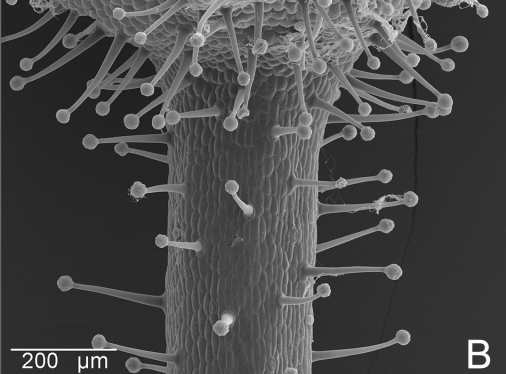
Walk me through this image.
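The stalk is covered by an epidermis of elongated, tightly fitting cells arranged in longitudinal rows. Glandular capitate hairs stand out from it, each a thin stalk ending in a small spherical head, becoming denser toward the top where the stalk widens.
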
